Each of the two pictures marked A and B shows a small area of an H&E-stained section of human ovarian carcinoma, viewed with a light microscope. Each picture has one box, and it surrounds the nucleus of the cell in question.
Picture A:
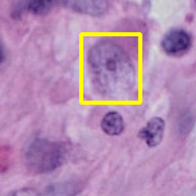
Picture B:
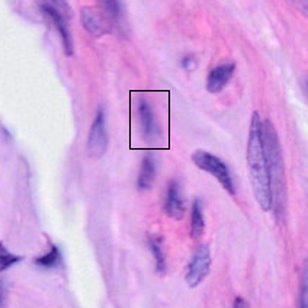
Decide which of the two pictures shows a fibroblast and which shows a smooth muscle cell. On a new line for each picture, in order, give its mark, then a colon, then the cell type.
A: fibroblast
B: smooth muscle cell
